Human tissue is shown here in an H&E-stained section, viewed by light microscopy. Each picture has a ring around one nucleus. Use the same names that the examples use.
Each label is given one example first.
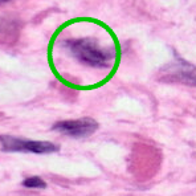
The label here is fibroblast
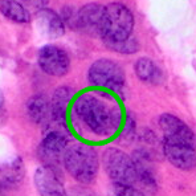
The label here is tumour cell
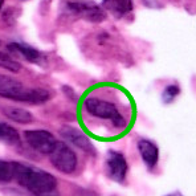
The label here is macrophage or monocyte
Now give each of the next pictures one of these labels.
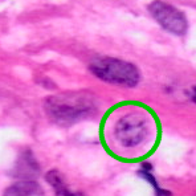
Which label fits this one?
macrophage or monocyte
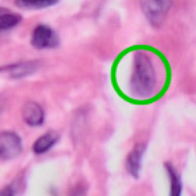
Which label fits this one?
fibroblast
